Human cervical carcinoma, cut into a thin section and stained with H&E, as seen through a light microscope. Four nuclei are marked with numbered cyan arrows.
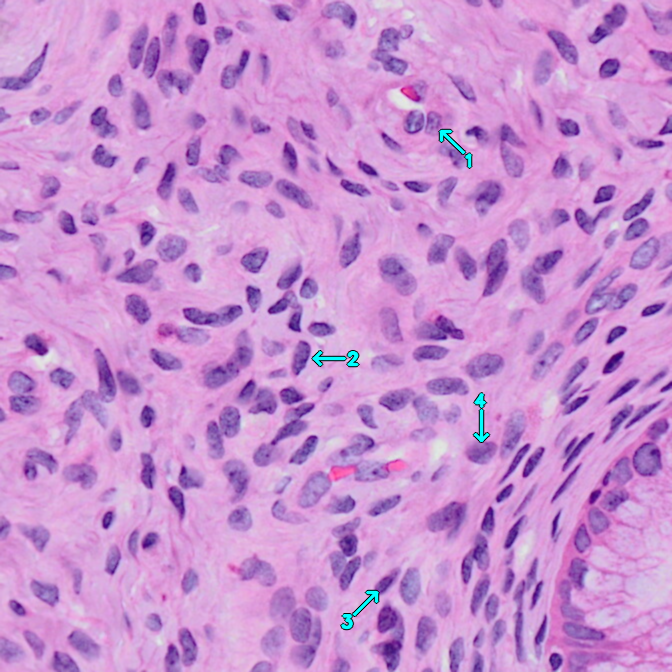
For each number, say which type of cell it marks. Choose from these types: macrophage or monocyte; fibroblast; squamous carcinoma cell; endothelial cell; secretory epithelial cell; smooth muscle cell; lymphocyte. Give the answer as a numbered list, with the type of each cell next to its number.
1. endothelial cell
2. fibroblast
3. fibroblast
4. fibroblast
